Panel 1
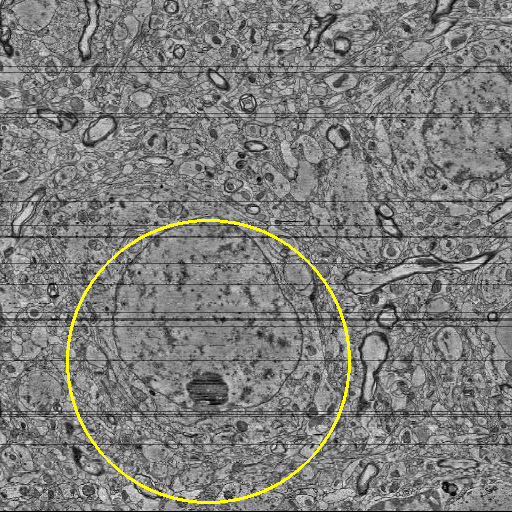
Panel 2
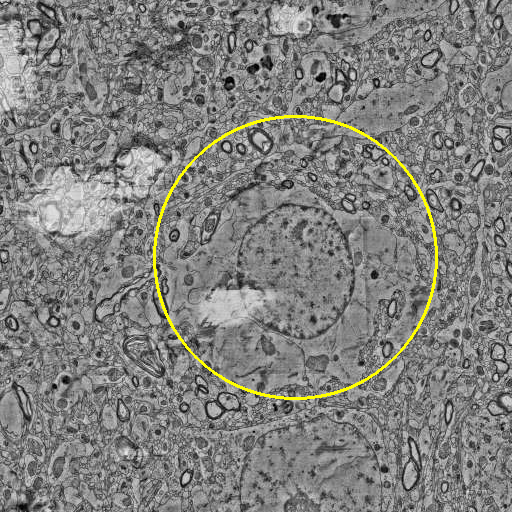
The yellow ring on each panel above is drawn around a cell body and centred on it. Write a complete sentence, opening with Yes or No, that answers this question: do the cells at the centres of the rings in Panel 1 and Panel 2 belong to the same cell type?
No, the two cells belong to two cell types.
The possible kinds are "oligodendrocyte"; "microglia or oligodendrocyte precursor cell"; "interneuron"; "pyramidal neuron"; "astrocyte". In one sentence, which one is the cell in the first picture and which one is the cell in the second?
The cell ringed in the second picture is an astrocyte, whereas the one ringed in the first is a pyramidal neuron.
